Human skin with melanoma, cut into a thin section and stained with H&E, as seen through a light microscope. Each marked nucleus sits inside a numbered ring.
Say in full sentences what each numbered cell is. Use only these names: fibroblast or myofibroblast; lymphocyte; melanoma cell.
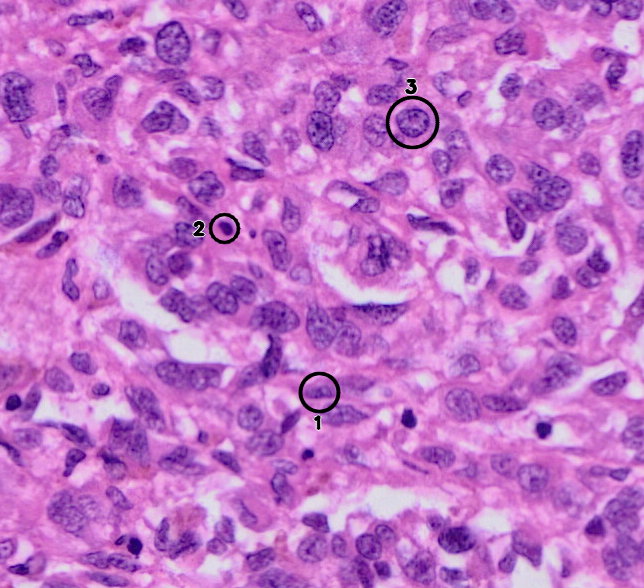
Cells 1 and 3 are melanoma cells. Cell 2 is a lymphocyte.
